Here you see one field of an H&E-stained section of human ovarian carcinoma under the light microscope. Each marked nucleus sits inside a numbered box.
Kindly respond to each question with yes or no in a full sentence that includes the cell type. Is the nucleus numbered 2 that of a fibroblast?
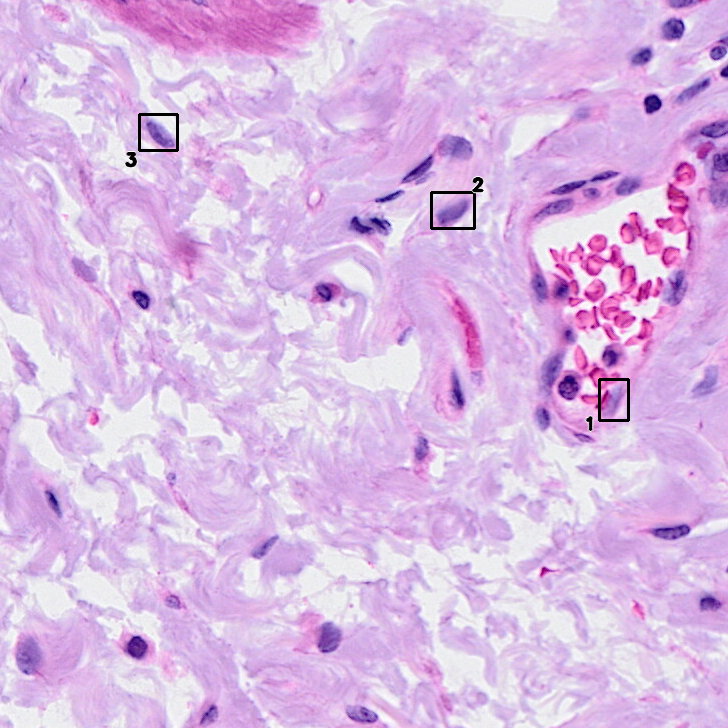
Yes, the cell identified by number 2 is a fibroblast.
